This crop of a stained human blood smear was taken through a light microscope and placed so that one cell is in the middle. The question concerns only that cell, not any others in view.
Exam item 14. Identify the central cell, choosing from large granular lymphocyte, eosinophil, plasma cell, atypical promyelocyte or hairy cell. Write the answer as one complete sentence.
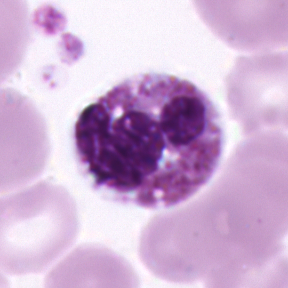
The cell sitting right in the middle is an eosinophil.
